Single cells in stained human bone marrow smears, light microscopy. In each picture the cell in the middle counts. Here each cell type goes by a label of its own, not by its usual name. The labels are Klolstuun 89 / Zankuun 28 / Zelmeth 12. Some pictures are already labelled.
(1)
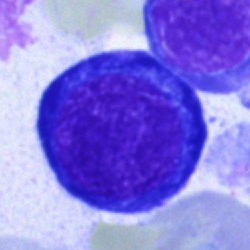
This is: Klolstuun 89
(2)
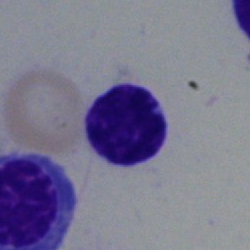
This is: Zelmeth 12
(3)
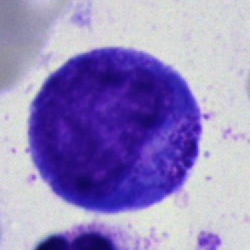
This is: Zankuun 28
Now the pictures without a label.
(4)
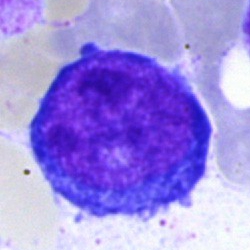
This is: Klolstuun 89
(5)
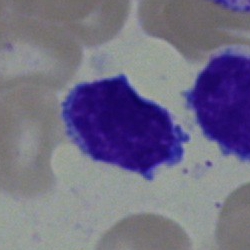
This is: Zelmeth 12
